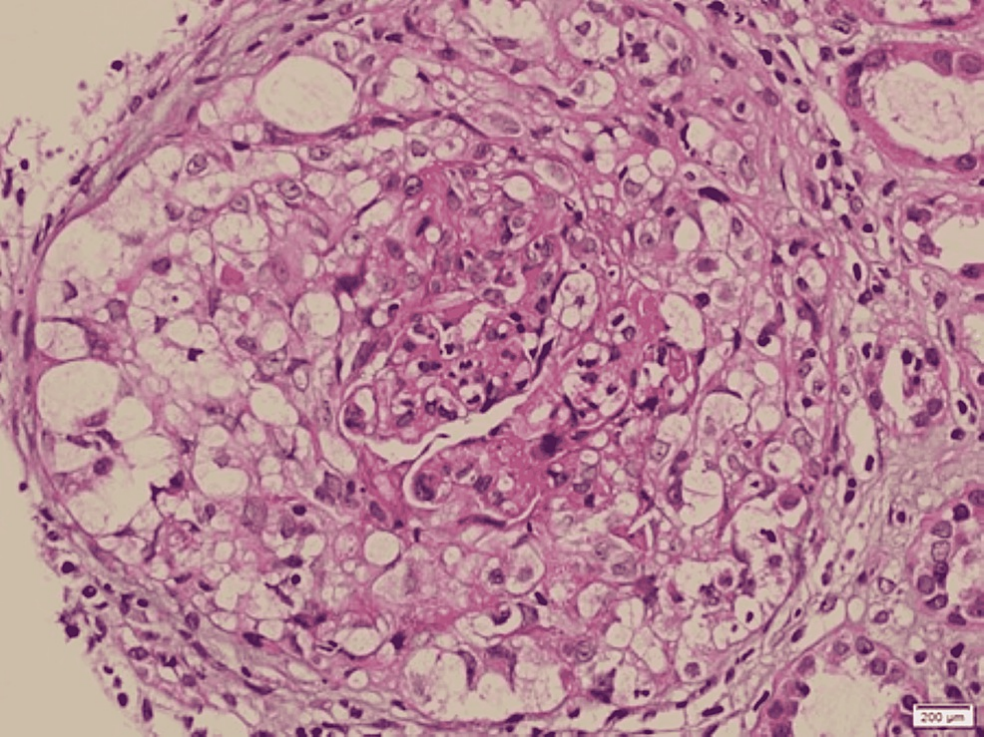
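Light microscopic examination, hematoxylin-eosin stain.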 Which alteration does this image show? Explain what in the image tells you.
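A circumferential cellular crescent. A small glomerular tuft sits compressed in the centre of a round structure. Layers of plump cells fill the space around the tuft on all sides. The cells around the tuft have pale, bubbly cytoplasm and rounded nuclei. A thin pink capsule bounds the whole structure, with tubules outside it at the right.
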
